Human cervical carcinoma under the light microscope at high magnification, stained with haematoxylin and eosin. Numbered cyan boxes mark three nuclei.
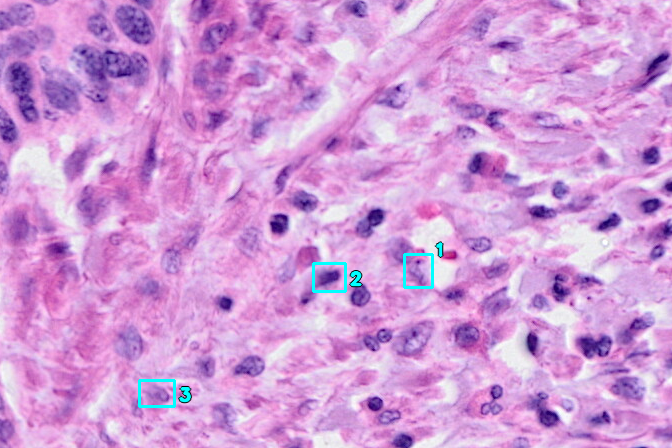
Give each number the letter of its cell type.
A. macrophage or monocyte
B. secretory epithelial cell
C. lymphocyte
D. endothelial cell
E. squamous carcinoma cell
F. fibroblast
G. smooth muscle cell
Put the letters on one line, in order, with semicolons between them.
D; C; F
